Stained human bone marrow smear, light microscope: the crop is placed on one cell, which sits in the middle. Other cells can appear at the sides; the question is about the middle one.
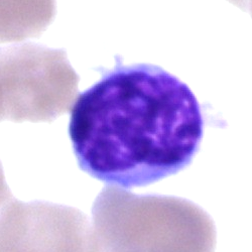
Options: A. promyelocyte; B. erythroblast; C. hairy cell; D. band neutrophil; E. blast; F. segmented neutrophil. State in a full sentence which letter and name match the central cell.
Option C gets it right: the cell in the middle is a hairy cell.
